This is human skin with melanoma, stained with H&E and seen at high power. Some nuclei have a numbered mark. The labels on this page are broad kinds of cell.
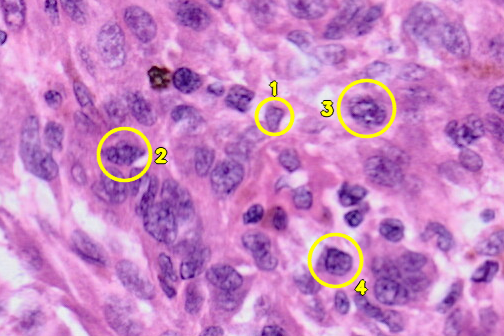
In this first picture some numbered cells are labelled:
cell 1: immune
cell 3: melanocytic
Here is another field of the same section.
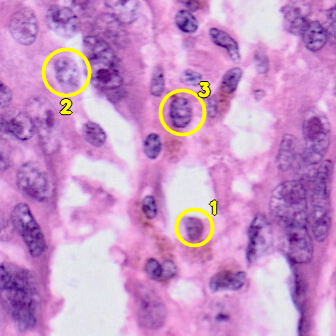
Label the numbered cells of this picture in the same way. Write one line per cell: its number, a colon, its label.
1: immune
2: melanocytic
3: immune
